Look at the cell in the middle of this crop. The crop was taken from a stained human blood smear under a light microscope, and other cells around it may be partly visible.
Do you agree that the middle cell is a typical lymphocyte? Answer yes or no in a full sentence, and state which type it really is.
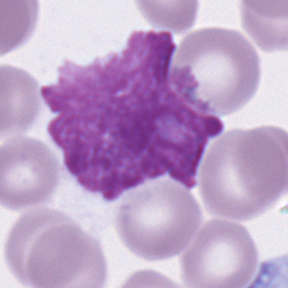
No, the central cell is classed as a smudge cell, not a typical lymphocyte.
